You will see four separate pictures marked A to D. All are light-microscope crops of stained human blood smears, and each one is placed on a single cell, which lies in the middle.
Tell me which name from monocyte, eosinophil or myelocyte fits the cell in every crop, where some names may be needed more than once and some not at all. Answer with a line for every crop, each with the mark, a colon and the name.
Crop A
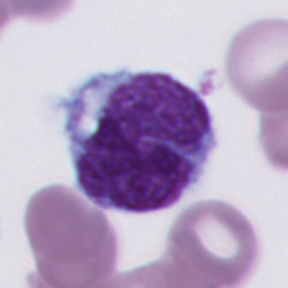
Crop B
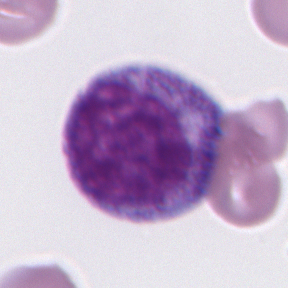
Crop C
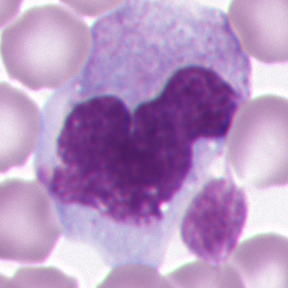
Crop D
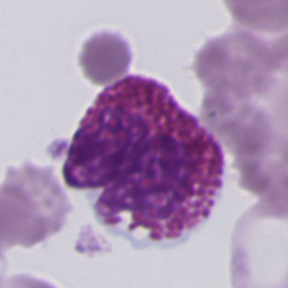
A: monocyte
B: myelocyte
C: monocyte
D: eosinophil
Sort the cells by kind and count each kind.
monocyte: 2
myelocyte: 1
eosinophil: 1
